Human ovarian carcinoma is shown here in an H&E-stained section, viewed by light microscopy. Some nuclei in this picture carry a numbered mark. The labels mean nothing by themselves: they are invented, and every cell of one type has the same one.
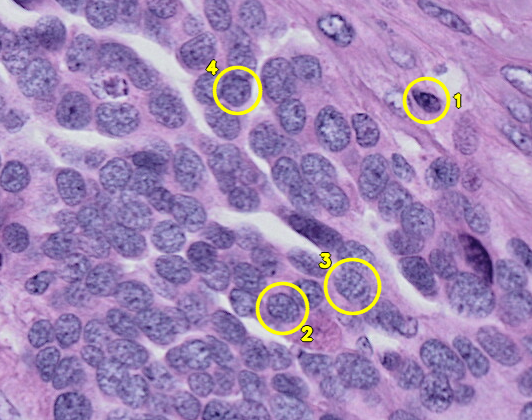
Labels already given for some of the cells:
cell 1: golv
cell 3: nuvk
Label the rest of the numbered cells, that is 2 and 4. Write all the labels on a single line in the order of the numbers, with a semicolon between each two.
nuvk; nuvk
